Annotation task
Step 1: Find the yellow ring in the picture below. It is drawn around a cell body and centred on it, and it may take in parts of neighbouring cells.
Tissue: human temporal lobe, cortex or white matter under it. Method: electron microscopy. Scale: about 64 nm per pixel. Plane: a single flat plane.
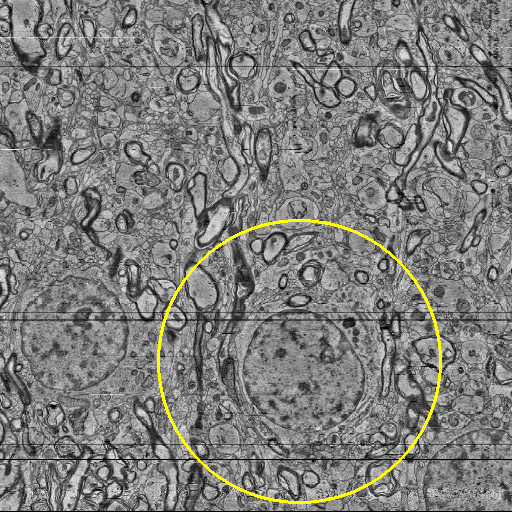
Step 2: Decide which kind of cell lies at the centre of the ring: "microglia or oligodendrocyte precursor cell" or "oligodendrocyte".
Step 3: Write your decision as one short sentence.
The kind of cell at the ring's centre is a microglial cell or oligodendrocyte precursor cell.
